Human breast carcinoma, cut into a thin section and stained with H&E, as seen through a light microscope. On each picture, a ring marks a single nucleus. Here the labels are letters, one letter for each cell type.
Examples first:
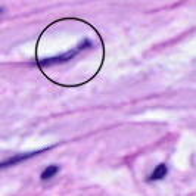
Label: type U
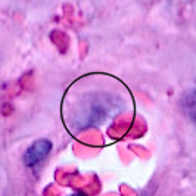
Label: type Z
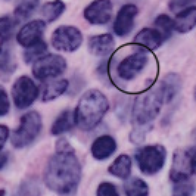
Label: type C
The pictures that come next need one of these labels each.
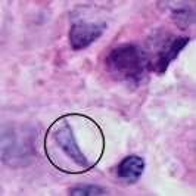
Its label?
type U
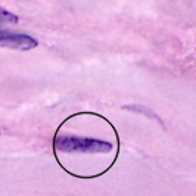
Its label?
type U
